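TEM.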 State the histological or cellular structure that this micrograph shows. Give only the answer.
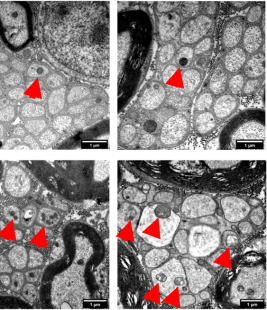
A: Remak bundles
